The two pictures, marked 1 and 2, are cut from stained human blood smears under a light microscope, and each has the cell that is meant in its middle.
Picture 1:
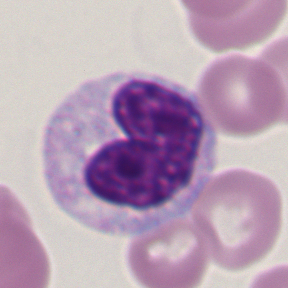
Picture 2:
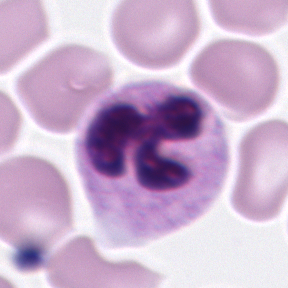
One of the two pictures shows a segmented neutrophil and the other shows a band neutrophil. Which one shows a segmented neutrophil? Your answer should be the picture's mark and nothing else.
2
